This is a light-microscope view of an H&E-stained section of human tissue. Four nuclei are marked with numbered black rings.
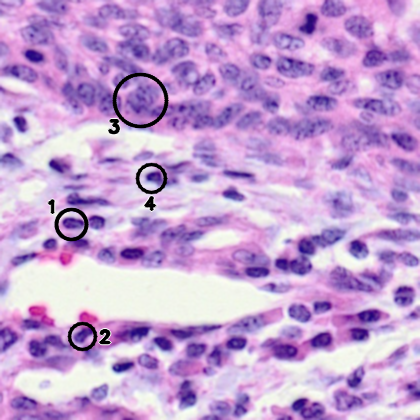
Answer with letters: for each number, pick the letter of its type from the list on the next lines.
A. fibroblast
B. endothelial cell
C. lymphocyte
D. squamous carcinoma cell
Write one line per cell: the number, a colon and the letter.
1: C
2: C
3: D
4: C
